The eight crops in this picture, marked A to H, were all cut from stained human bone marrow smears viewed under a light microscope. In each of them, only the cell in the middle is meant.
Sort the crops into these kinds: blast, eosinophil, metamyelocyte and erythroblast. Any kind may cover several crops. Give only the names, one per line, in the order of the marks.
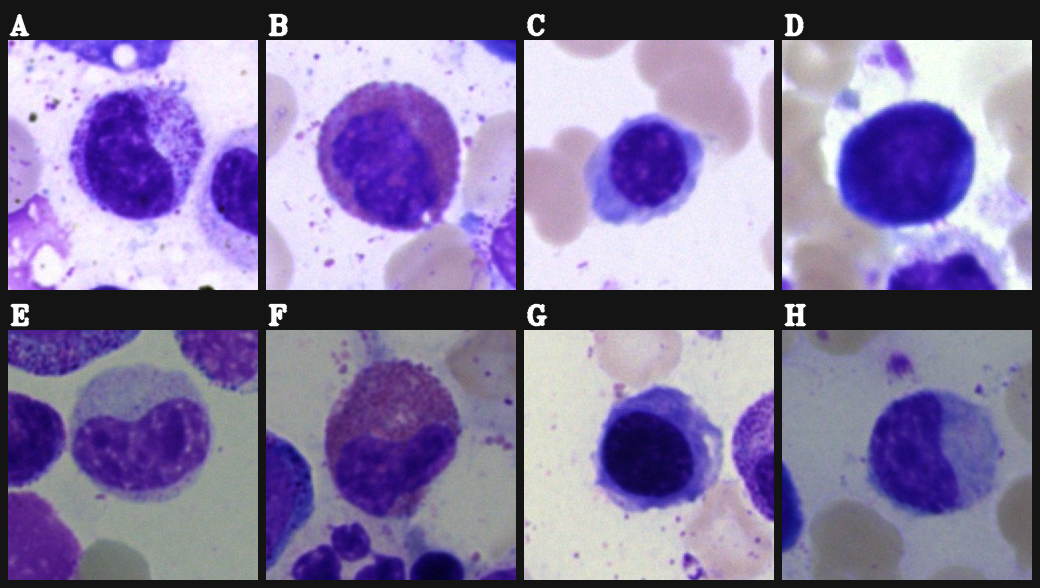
metamyelocyte
eosinophil
erythroblast
blast
metamyelocyte
eosinophil
erythroblast
metamyelocyte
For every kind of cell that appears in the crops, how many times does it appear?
metamyelocyte: 3
eosinophil: 2
erythroblast: 2
blast: 1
